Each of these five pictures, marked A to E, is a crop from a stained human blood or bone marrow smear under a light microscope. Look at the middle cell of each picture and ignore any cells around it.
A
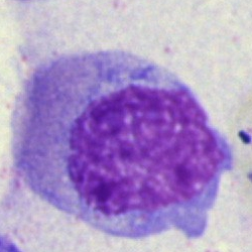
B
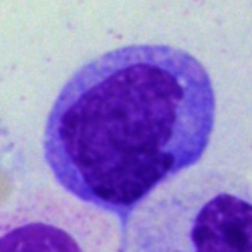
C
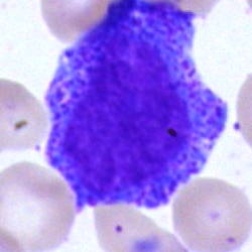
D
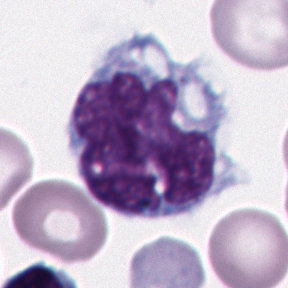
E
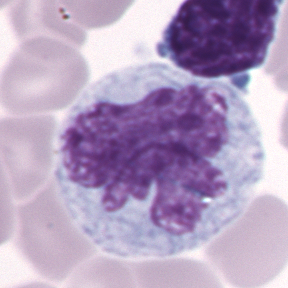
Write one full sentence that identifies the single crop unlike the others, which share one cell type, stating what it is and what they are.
Crop C is the only one that is a promyelocyte; all the others show monocytes.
